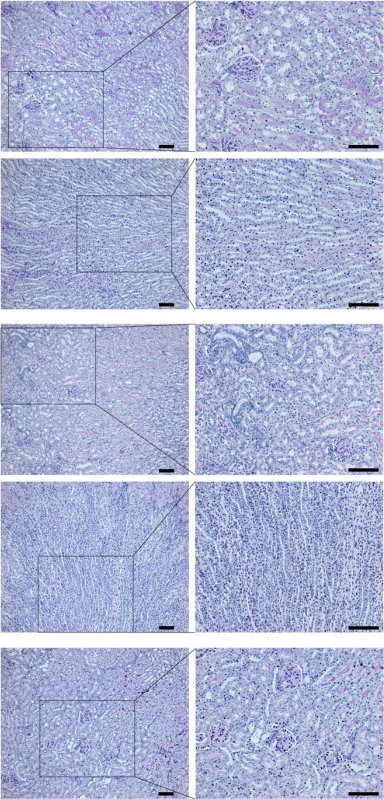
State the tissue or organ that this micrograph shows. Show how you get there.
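Many tubule cross-sections and longitudinal tubules fill the sections. Round glomerular tufts lie among tubules in some fields. Other fields show long parallel tubules. So: kidneys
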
